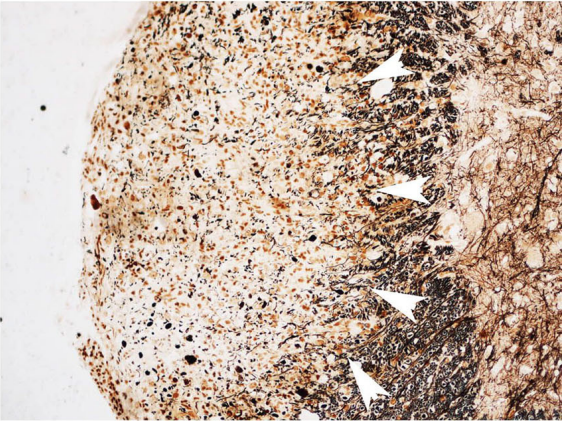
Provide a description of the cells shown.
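Toward the outer surface the tissue is pale brown and the orderly dark fibre pattern is broken up into scattered dark dots and fragments. Deeper in, the white matter keeps a dense pattern of dark-stained fibres, and the border between the two zones is irregular.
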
